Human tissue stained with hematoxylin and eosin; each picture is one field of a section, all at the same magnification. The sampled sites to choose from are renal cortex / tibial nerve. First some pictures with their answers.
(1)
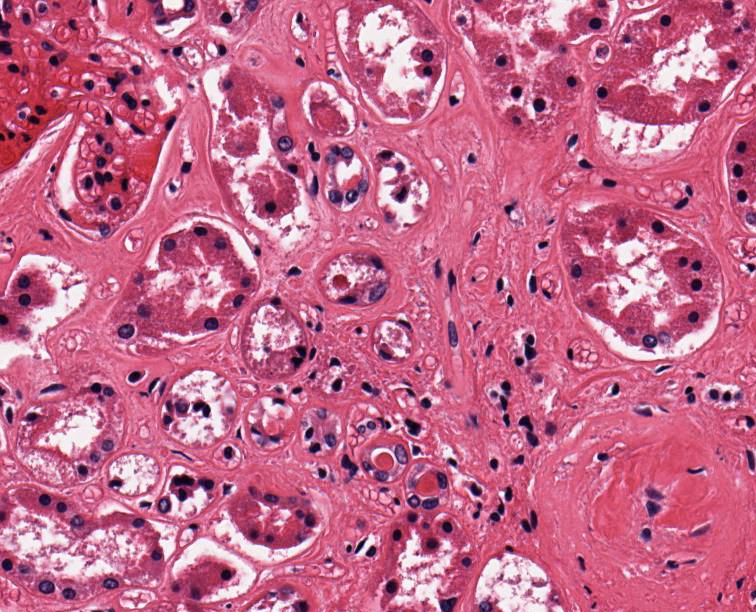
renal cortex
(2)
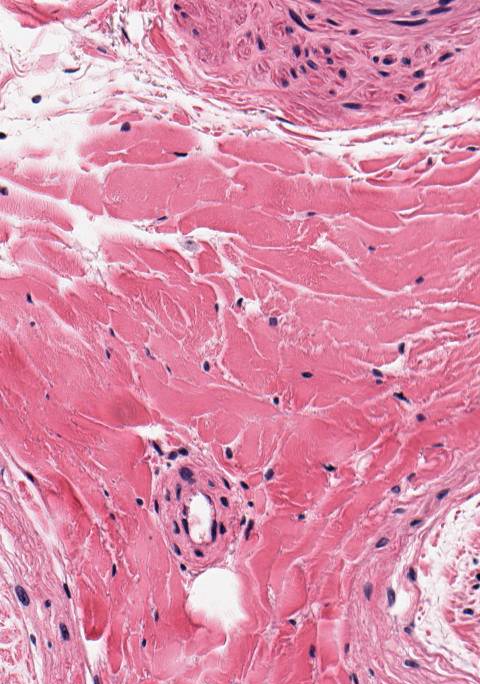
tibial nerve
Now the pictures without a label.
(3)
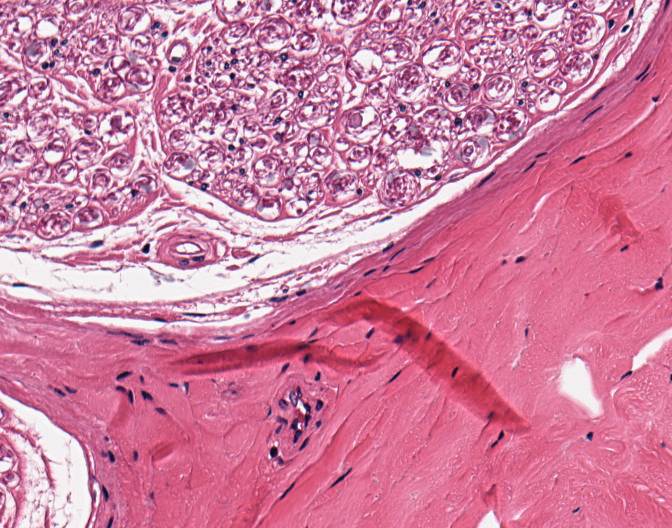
tibial nerve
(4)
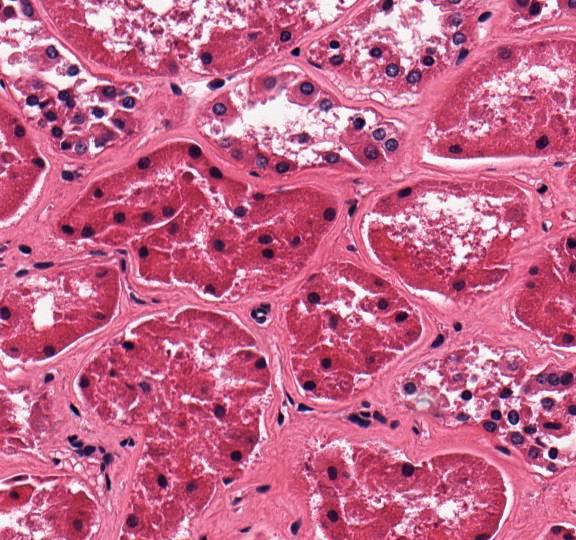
renal cortex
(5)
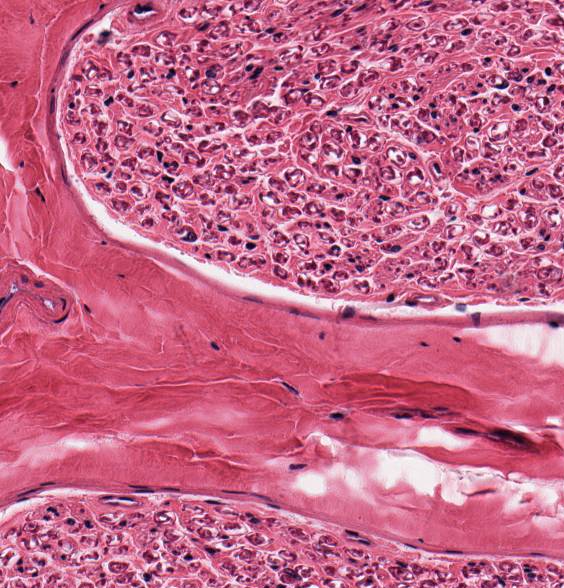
tibial nerve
